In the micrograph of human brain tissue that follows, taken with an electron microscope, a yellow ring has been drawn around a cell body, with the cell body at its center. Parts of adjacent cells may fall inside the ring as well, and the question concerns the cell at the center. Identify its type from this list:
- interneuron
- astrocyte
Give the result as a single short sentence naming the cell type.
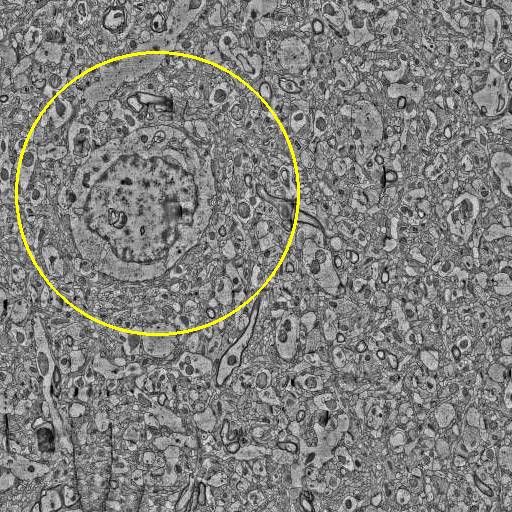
The ring is centered on an interneuron.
